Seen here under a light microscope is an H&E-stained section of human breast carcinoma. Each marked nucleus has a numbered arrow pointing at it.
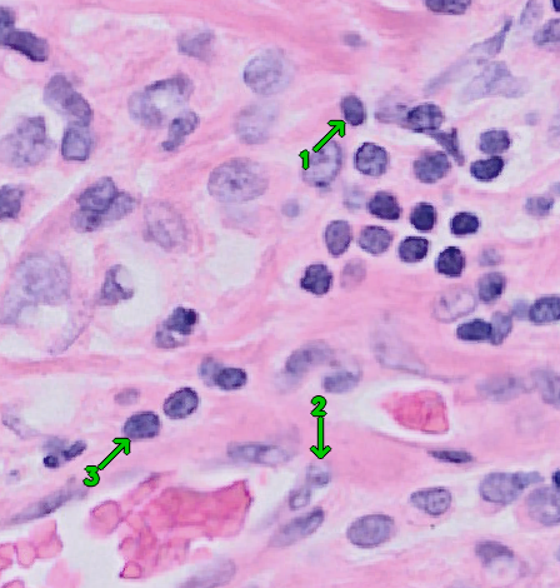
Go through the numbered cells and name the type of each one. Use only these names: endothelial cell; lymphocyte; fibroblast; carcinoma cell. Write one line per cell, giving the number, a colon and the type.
1: lymphocyte
2: endothelial cell
3: lymphocyte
